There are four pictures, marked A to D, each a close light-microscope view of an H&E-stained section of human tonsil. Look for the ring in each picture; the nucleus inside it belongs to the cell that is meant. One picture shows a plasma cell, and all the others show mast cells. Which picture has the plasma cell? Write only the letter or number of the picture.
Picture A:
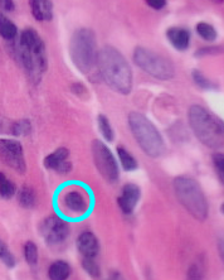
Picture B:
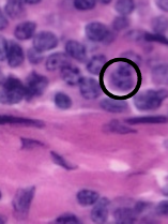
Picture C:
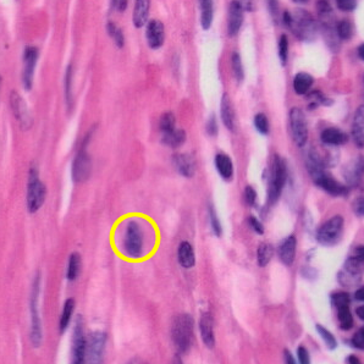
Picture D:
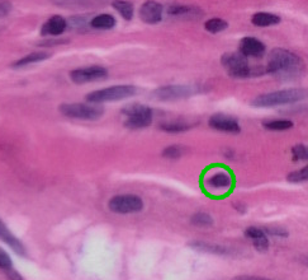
B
